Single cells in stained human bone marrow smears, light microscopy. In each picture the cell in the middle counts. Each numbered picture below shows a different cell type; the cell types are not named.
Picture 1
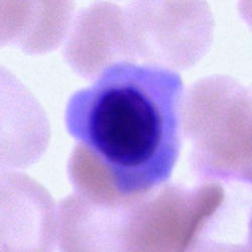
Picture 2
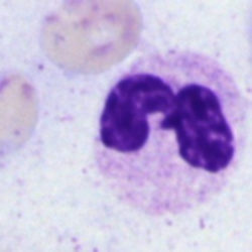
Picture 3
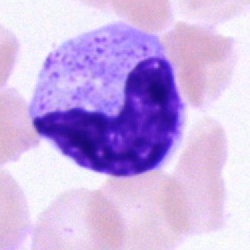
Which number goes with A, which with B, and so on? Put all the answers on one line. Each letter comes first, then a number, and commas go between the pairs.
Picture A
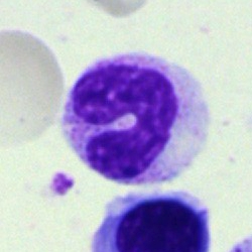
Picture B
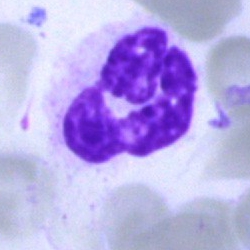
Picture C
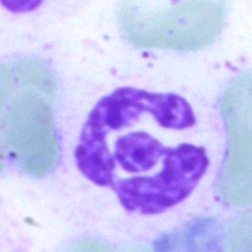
A 3, B 2, C 2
